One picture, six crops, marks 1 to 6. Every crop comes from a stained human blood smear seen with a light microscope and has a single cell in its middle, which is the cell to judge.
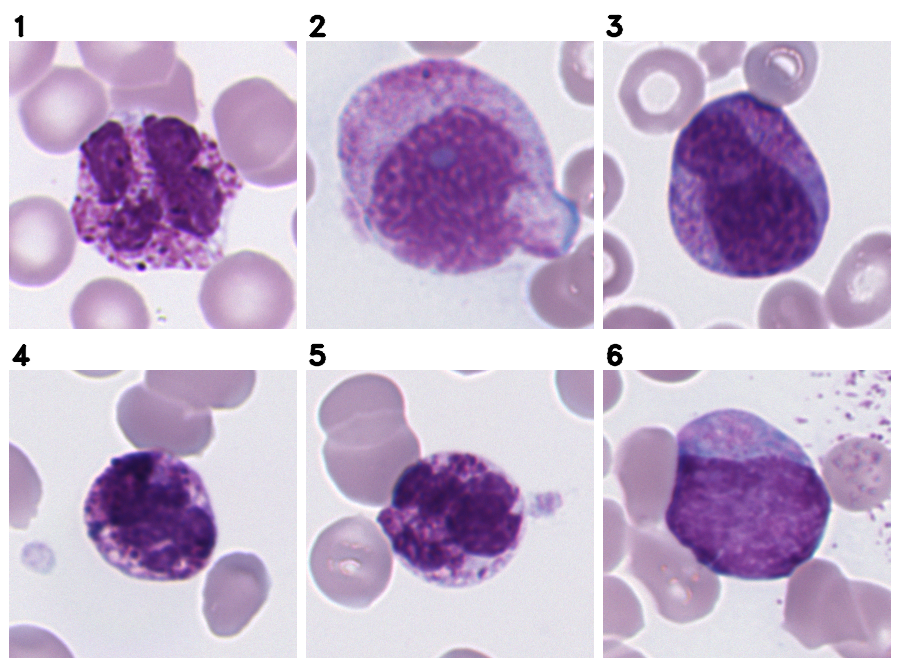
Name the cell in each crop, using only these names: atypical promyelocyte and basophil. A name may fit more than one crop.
1: basophil
2: atypical promyelocyte
3: atypical promyelocyte
4: basophil
5: basophil
6: atypical promyelocyte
